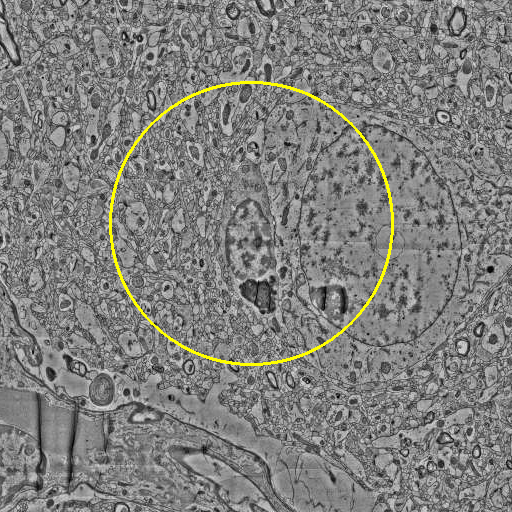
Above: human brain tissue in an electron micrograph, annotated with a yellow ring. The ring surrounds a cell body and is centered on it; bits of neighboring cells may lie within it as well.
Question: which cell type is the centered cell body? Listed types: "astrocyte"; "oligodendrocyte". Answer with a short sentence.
The centered cell body is an oligodendrocyte.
